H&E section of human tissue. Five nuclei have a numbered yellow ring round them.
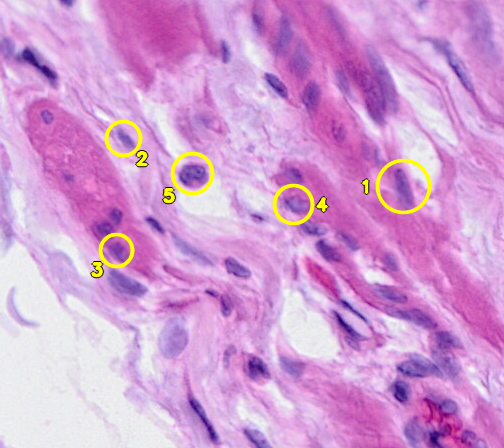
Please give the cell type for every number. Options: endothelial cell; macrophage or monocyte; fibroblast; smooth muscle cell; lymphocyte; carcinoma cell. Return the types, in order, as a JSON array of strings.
["smooth muscle cell", "macrophage or monocyte", "smooth muscle cell", "smooth muscle cell", "macrophage or monocyte"]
